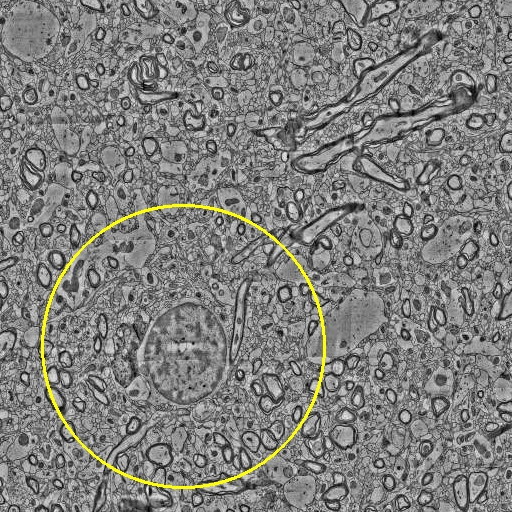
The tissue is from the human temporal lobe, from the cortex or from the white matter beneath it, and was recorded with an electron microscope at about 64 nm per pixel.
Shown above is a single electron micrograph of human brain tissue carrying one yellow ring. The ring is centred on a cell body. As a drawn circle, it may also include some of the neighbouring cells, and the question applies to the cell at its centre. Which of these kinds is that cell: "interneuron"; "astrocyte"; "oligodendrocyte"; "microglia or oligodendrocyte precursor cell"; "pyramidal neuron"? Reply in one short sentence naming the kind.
The cell marked by the ring is an oligodendrocyte.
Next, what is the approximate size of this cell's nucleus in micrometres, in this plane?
In this plane, roughly 6 by 5 micrometres.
